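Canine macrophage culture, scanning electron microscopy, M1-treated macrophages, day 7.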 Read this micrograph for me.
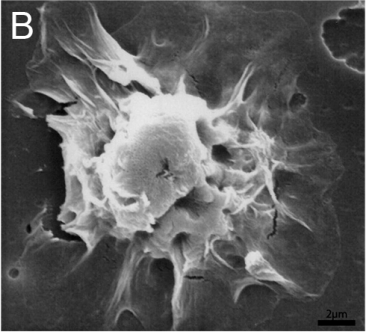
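The centre is a raised, roundish cell body with a rough, folded surface. From it spread numerous delicate extensions, some as broad thin sheets and others as fine filaments, giving the cell a ragged, star-like edge. The cell sits on a flat substrate dotted with small dark pores.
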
